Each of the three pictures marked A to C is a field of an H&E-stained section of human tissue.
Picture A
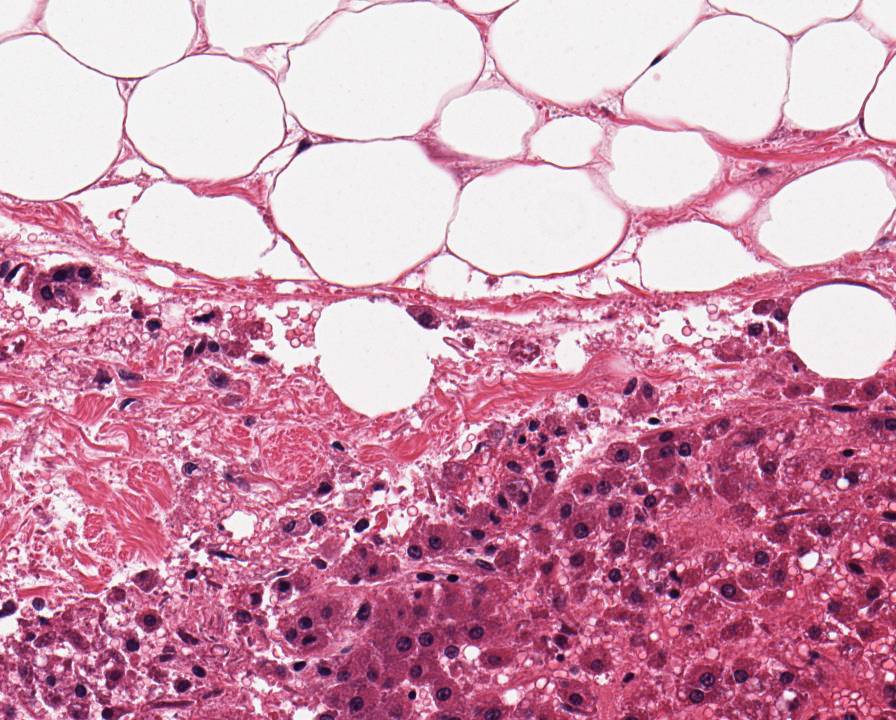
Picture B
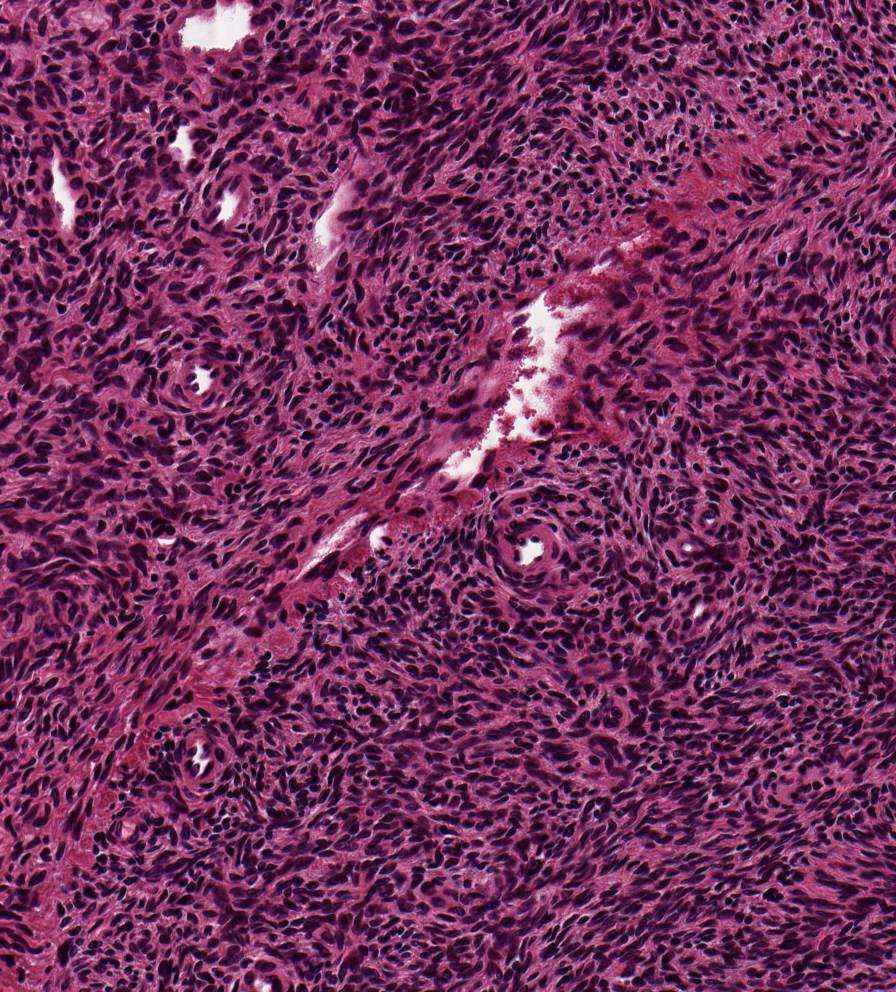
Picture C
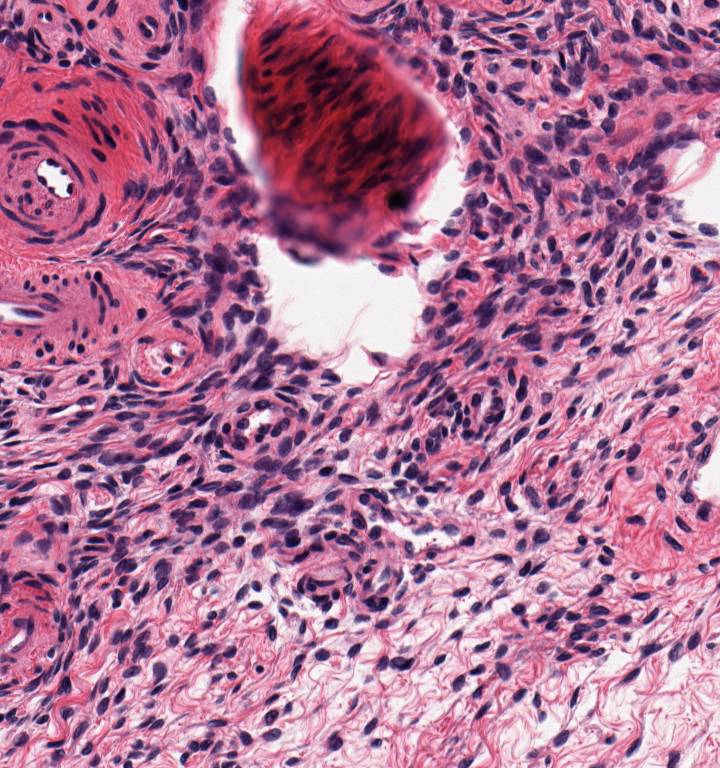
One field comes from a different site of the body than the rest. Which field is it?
A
